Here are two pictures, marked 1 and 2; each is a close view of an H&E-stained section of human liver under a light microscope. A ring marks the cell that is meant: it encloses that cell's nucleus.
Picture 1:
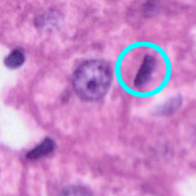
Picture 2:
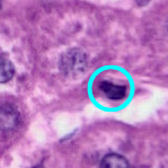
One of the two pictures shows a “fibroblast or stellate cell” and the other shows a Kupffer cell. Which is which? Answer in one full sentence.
The cell in picture 1 is a “fibroblast or stellate cell”, and the one in picture 2 is a Kupffer cell.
